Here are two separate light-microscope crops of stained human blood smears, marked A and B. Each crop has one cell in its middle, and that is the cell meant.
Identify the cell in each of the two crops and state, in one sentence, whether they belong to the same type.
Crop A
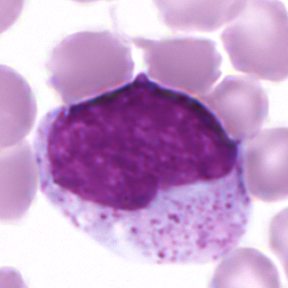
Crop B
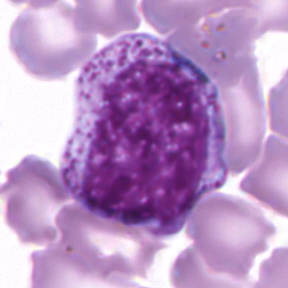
Yes, in both of the crops, the central cells are myelocytes.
